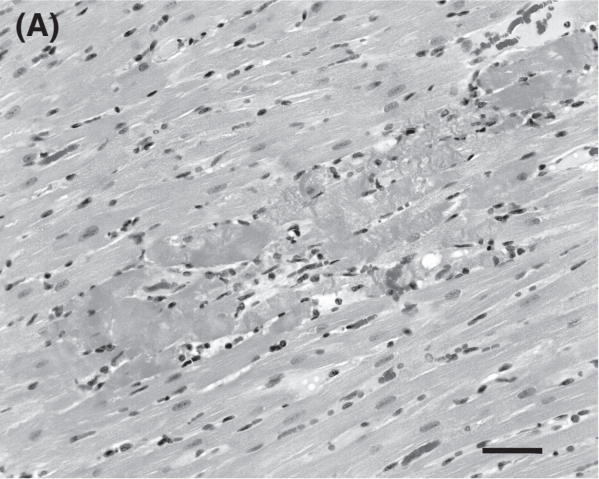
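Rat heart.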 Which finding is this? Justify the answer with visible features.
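The fibres in this band lack the elongated nuclei seen in the surrounding muscle. Small dark nuclei cluster within and around the band. That points to this answer: myocardial necrotic areas.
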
